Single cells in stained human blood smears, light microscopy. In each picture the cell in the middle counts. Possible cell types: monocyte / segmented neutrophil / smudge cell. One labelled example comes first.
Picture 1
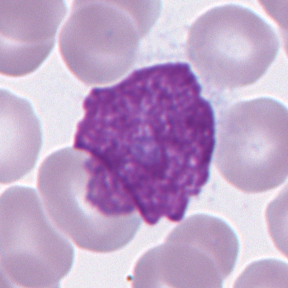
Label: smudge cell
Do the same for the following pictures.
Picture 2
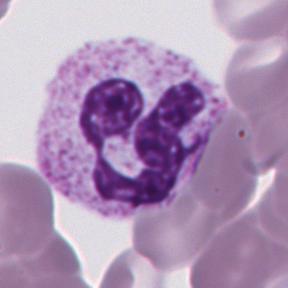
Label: segmented neutrophil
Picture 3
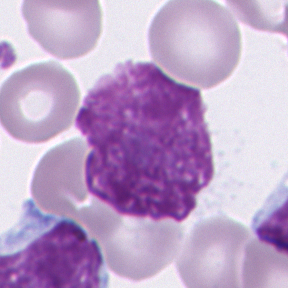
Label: smudge cell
